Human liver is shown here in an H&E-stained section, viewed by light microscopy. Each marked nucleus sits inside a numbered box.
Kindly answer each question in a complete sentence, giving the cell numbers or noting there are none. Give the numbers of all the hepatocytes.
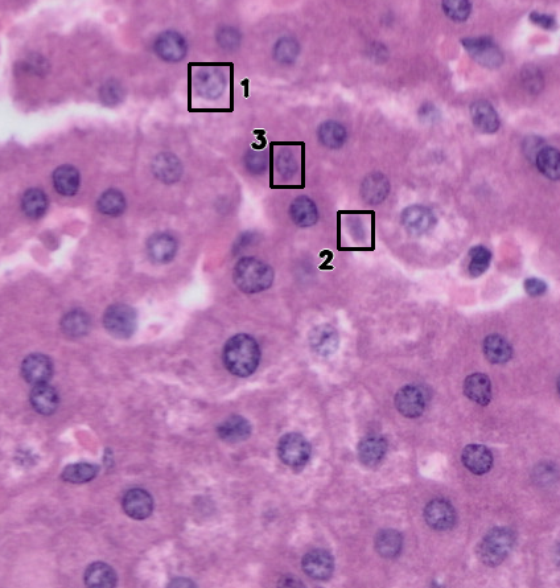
Cells that were given the numbers 1 and 3 are hepatocytes.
